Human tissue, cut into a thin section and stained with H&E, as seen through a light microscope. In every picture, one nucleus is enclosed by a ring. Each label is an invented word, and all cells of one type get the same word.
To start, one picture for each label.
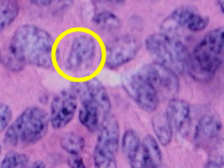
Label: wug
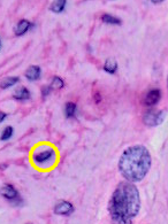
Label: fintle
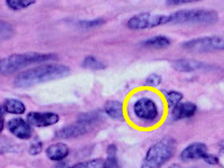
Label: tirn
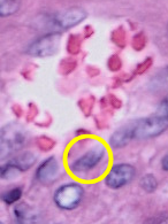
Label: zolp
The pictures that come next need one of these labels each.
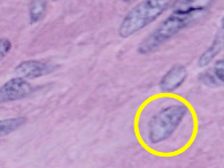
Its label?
fintle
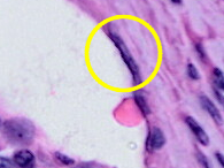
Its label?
zolp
